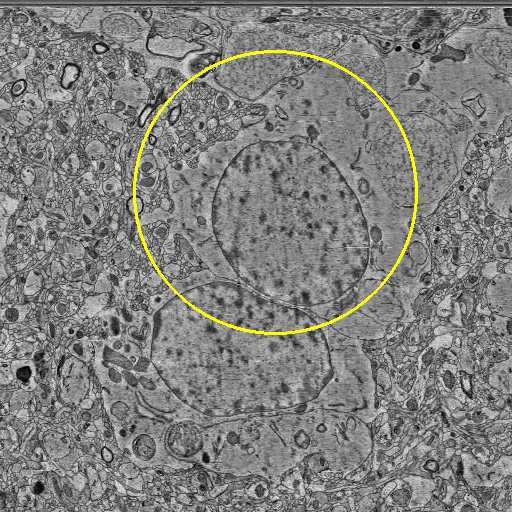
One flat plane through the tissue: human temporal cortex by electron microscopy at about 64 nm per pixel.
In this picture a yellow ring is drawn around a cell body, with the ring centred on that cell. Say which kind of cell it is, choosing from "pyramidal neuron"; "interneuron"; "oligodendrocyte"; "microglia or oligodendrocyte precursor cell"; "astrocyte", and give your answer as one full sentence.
Here it is an astrocyte that sits at the centre of the drawn yellow ring.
